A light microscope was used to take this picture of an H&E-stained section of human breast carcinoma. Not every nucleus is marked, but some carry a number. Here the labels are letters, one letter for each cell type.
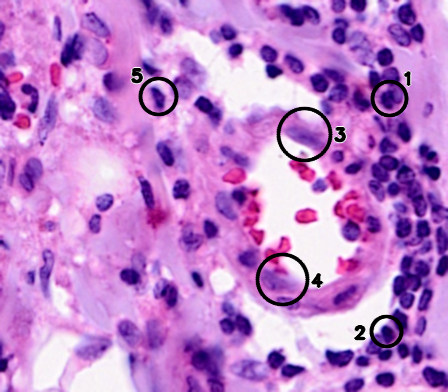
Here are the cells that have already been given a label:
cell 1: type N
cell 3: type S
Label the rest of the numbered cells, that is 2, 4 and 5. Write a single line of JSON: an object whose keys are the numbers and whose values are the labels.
{"2": "type N", "4": "type S", "5": "type N"}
